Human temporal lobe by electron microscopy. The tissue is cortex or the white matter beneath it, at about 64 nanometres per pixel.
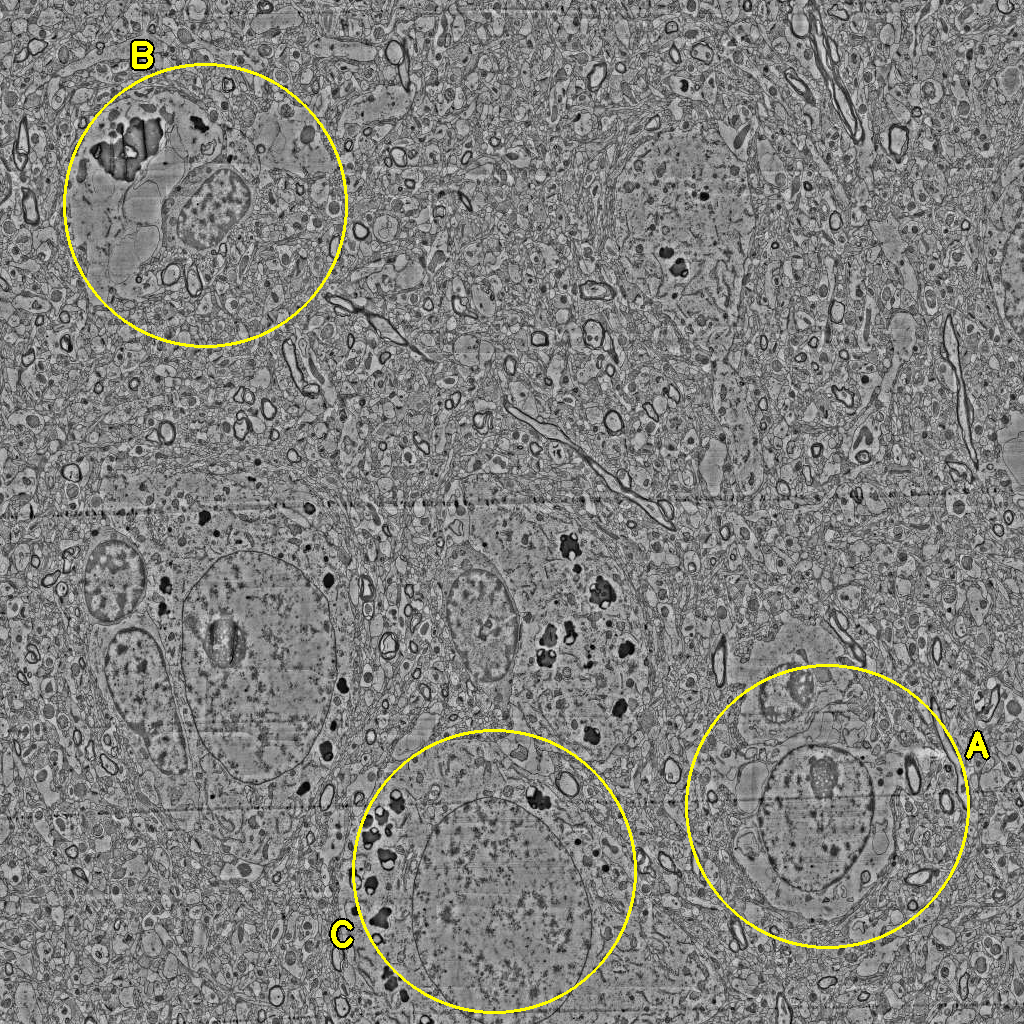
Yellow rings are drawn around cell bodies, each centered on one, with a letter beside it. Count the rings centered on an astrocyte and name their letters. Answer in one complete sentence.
Only one ring is centred on an astrocyte in the micrograph, and it is ring A.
